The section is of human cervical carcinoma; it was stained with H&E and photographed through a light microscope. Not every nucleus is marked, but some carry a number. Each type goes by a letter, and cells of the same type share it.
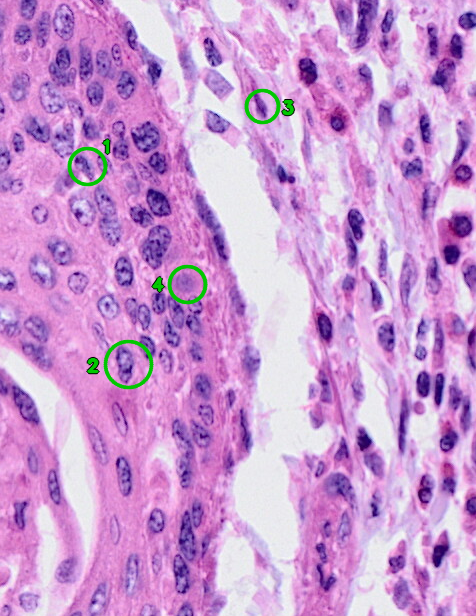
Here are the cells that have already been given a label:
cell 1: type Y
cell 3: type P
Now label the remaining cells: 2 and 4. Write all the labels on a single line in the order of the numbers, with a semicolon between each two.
type Y; type Y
